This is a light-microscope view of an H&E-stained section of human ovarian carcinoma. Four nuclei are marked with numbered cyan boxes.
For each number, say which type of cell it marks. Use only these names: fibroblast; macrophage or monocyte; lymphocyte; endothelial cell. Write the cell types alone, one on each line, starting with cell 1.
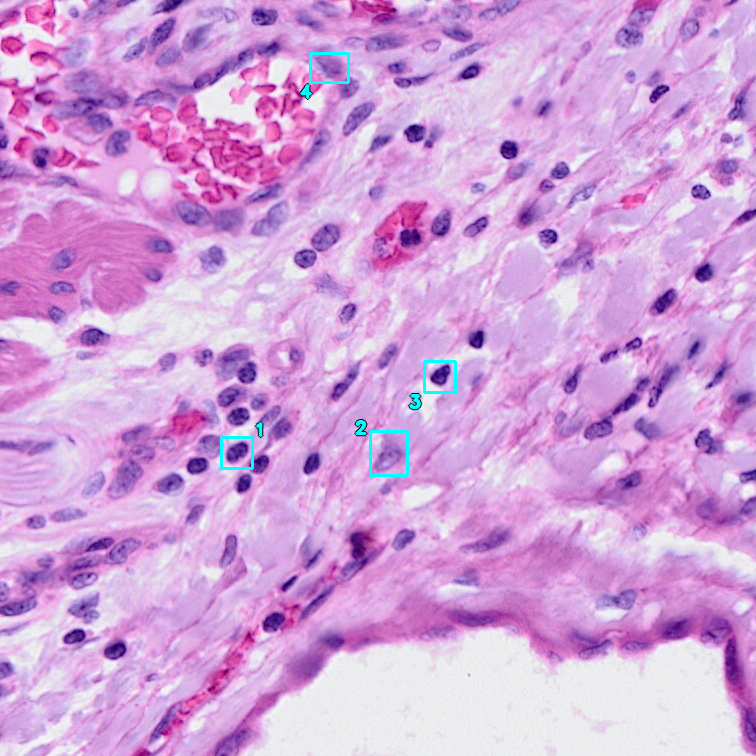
lymphocyte
fibroblast
lymphocyte
endothelial cell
